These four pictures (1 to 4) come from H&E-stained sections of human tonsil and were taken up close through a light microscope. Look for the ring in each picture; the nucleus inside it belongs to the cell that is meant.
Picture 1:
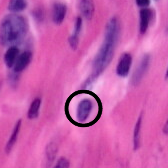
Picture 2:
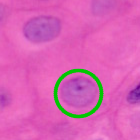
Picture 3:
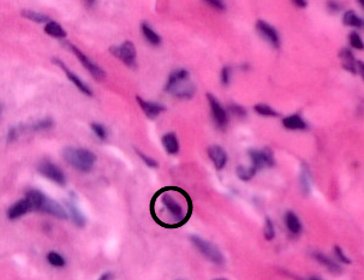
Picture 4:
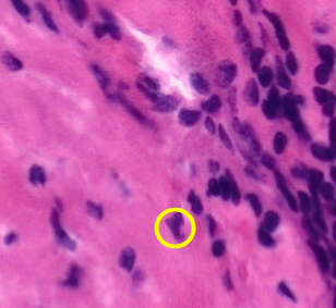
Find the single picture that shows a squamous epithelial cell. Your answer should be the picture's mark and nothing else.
2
